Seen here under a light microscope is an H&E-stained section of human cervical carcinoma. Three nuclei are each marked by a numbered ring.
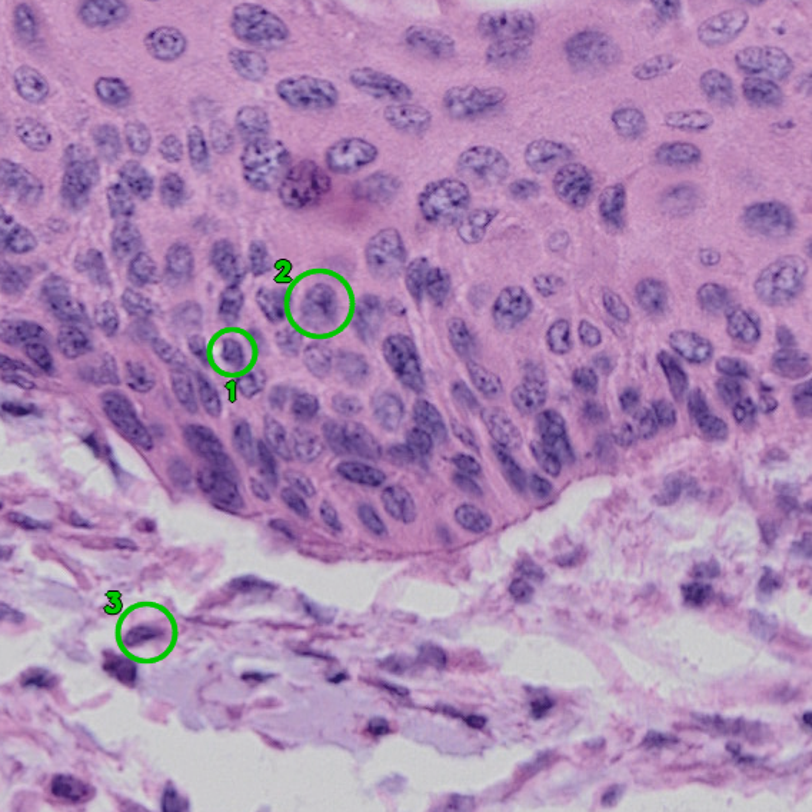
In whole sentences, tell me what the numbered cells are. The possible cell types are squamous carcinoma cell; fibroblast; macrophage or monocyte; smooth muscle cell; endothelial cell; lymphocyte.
Cells 1 and 2 are squamous carcinoma cells. Cell 3 is a macrophage or monocyte.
